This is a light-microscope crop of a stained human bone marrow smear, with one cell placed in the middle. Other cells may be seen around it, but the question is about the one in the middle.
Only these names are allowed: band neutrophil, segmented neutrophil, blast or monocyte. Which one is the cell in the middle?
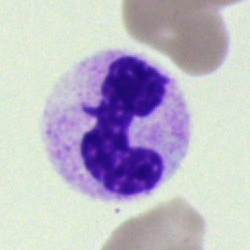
band neutrophil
